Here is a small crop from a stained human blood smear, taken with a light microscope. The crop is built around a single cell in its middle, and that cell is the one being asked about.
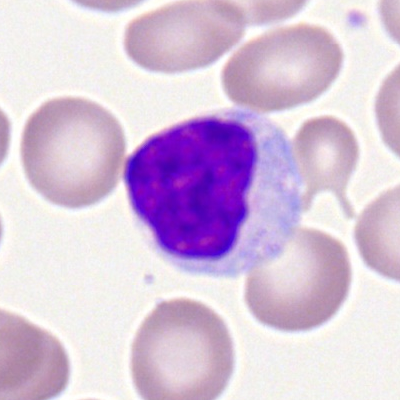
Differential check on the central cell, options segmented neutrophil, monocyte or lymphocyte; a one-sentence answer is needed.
At the crop's centre, the cell is a lymphocyte.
